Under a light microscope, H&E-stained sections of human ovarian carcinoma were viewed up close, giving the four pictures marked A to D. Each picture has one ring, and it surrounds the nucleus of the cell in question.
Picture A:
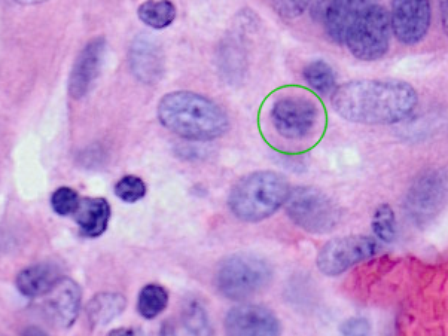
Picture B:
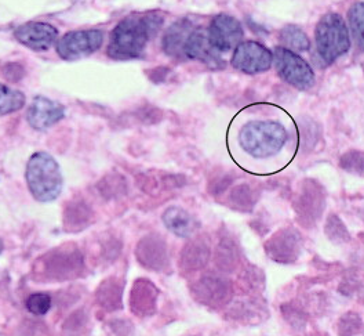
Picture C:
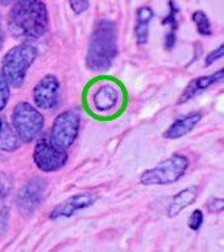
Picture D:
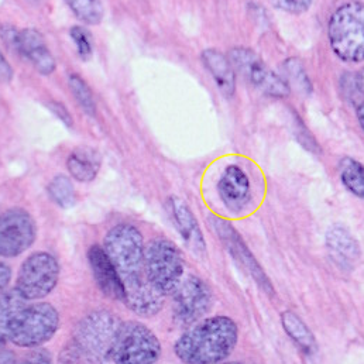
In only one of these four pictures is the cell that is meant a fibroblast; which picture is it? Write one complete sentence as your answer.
The picture with the fibroblast is C.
